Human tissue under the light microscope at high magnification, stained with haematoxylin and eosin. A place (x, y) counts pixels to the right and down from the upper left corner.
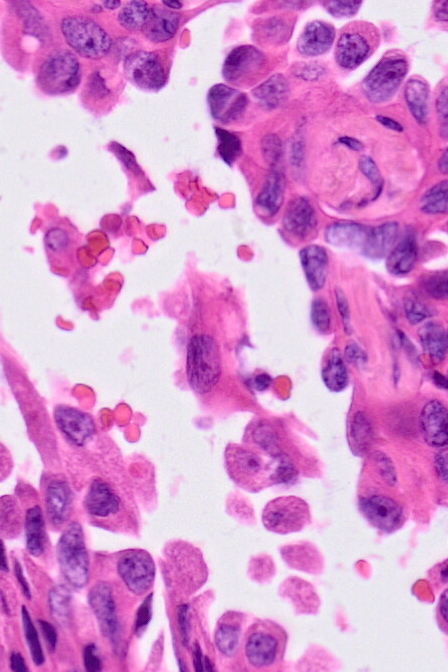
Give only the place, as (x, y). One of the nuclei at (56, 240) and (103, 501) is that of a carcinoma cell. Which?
(103, 501)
